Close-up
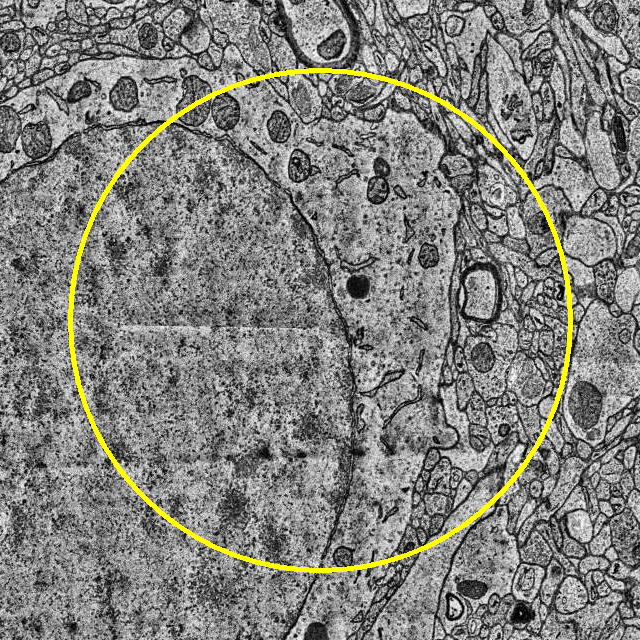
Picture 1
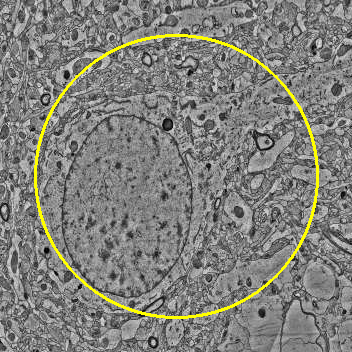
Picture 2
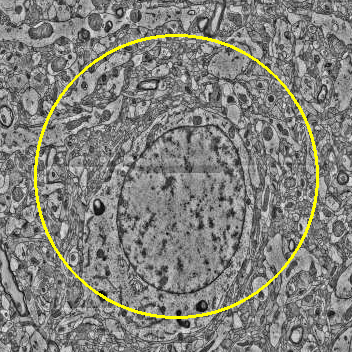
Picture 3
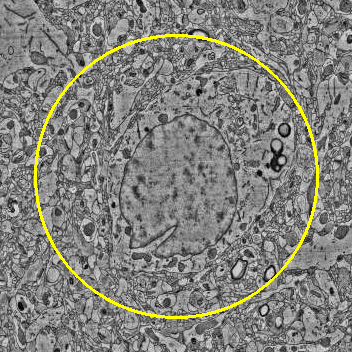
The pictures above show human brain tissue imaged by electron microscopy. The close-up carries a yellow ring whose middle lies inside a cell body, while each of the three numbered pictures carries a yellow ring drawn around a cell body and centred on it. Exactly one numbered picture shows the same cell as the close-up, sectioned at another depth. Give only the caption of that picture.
Picture 1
